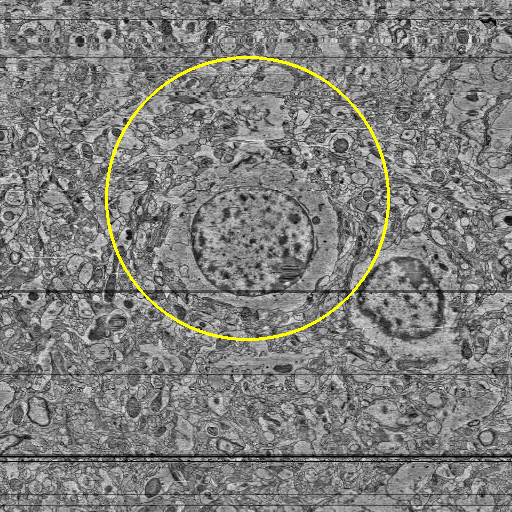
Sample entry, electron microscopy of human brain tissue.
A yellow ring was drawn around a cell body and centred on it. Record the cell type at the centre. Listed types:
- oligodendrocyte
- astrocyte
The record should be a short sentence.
The cell at the ring's centre is an astrocyte.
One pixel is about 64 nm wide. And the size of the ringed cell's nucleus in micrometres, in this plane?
Approximately 8 micrometres across, in this plane.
